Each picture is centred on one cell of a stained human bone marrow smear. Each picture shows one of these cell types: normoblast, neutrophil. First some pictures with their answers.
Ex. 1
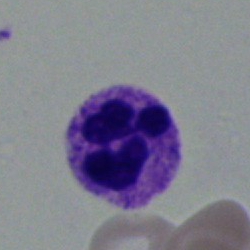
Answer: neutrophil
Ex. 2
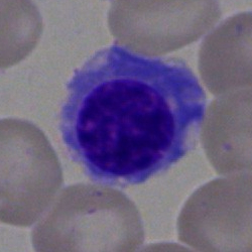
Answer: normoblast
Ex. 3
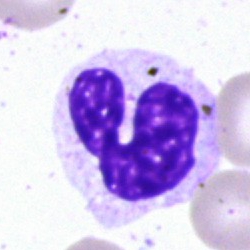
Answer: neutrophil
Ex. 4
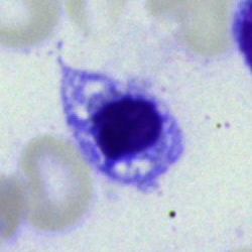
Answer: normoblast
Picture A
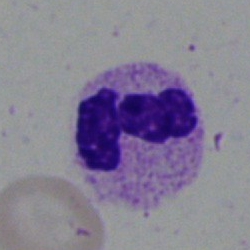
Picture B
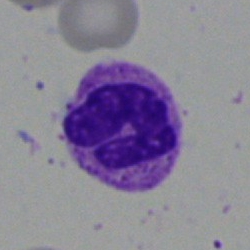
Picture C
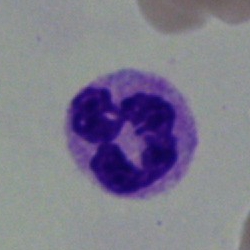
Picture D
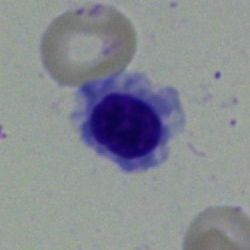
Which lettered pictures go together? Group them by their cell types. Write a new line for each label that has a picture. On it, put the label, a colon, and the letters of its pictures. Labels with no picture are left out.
normoblast: D
neutrophil: A, B, C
